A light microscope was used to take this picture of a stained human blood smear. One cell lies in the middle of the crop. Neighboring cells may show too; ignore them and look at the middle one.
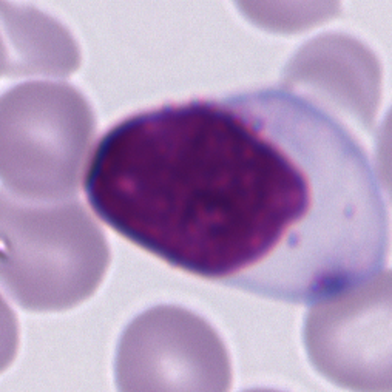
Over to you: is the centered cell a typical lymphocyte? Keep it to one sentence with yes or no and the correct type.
No, a typical lymphocyte is not what the central cell is; it is a large granular lymphocyte.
